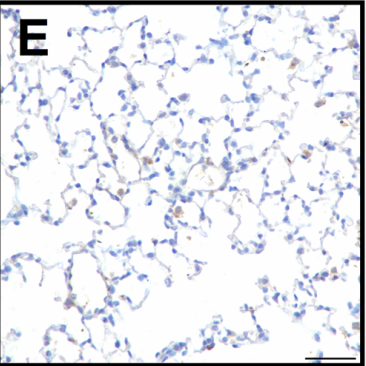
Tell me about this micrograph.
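Lung parenchyma at somewhat higher apparent magnification: thin alveolar septa outline open air spaces of varied size. Septal nuclei are blue, oval to rounded, some clustered where septa meet. Brown staining is faint overall, with a few scattered rounded cells showing light brown cytoplasm within the septa or at their edges. The septal walls are otherwise pale and the air spaces clear.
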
